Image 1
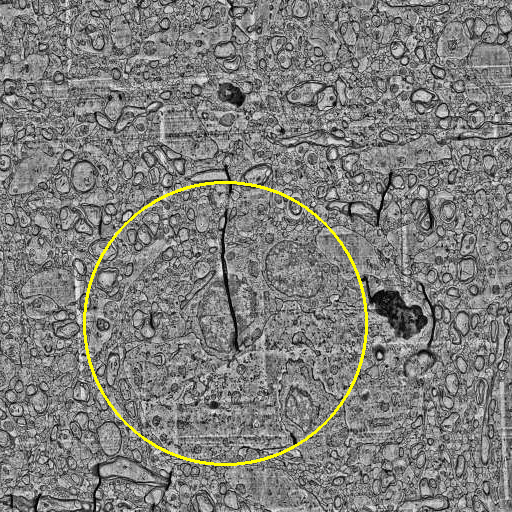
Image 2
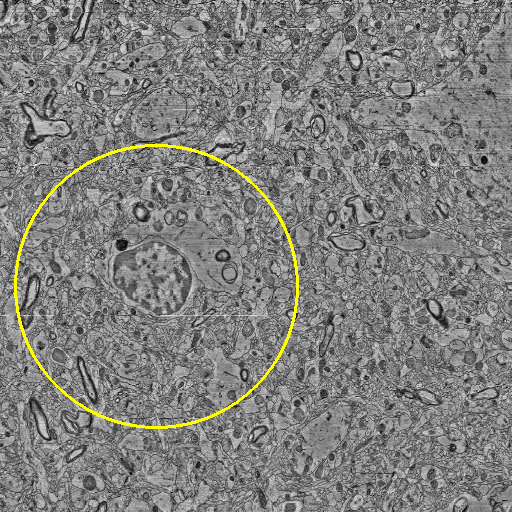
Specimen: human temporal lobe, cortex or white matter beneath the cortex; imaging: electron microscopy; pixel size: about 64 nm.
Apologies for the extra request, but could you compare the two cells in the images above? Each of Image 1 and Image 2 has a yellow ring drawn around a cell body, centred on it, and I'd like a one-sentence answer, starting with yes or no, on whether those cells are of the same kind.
No, the two cells are of two kinds.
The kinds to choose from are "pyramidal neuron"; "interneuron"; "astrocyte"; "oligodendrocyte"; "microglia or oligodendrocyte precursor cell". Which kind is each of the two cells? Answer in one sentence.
Of the two, the first cell is an oligodendrocyte and the second cell is a microglial cell or oligodendrocyte precursor cell.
